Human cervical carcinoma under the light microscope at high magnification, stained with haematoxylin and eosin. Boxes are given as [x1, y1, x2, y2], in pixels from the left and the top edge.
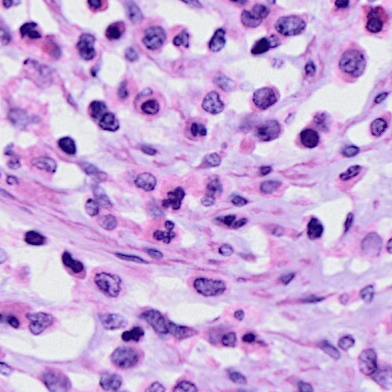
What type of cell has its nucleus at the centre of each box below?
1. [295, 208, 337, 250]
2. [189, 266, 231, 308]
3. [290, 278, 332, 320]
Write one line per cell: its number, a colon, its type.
1: lymphocyte
2: macrophage or monocyte
3: fibroblast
